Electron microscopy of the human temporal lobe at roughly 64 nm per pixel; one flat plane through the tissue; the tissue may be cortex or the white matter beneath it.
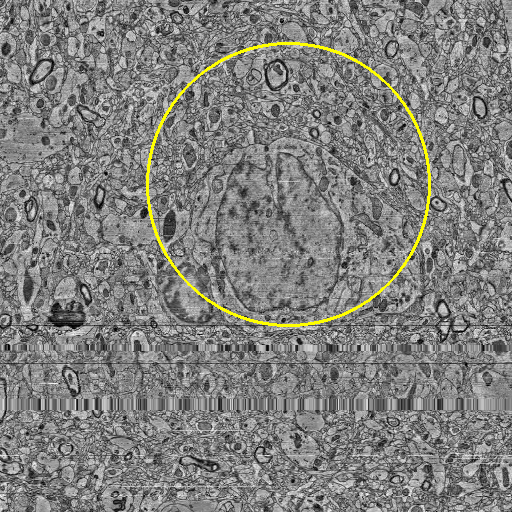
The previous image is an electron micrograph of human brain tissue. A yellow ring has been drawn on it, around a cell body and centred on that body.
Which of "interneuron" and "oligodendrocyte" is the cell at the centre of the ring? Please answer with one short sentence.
The cell body at the centre of the ring belongs to an interneuron.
